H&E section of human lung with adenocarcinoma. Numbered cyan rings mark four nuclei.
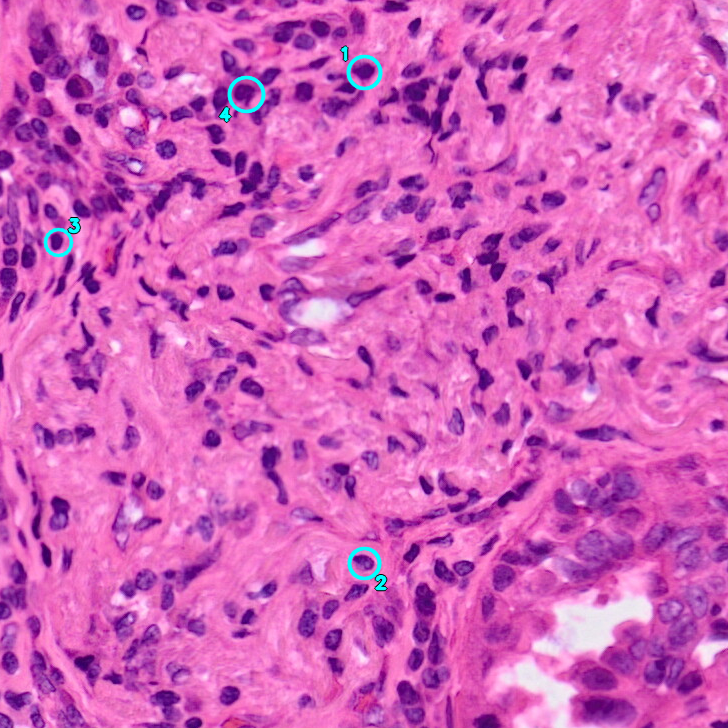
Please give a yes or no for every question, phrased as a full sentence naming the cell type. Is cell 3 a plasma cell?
No, the cell tagged 3 is a lymphocyte, and not a plasma cell.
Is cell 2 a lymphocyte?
Yes, the cell pointed out as number 2 is a lymphocyte.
